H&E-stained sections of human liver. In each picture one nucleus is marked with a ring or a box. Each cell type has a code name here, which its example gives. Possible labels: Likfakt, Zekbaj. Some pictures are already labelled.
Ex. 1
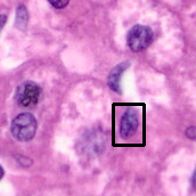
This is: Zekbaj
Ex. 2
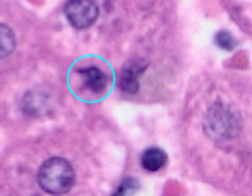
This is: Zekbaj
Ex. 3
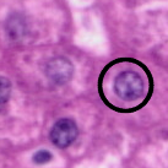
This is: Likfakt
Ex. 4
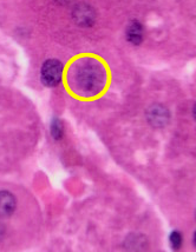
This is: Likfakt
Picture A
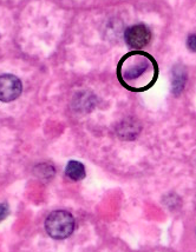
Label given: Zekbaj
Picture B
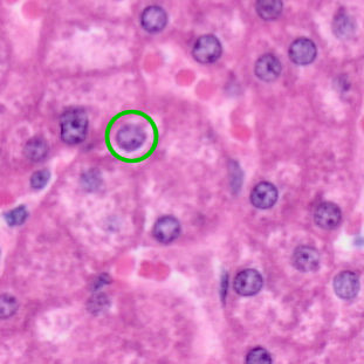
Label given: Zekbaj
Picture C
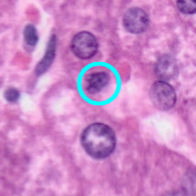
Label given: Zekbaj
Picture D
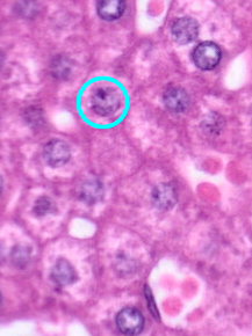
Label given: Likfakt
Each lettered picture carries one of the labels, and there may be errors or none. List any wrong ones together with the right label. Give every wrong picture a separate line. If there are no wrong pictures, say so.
B: not Zekbaj but Likfakt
